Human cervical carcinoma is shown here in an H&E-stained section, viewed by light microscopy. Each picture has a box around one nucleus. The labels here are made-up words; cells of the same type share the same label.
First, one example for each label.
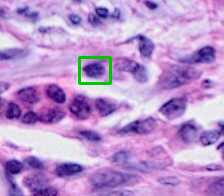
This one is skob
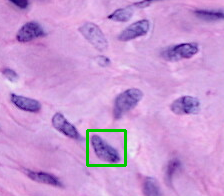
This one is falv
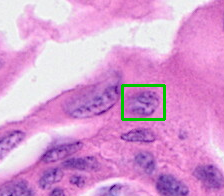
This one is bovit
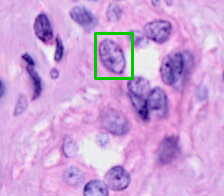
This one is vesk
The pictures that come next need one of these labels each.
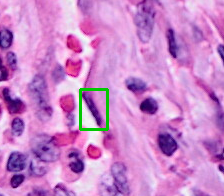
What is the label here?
vesk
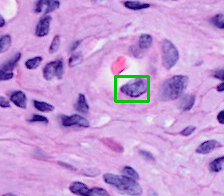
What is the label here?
vesk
